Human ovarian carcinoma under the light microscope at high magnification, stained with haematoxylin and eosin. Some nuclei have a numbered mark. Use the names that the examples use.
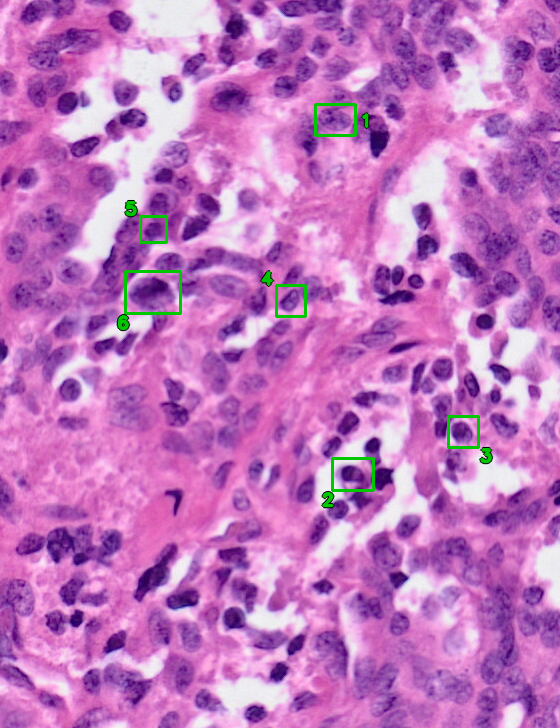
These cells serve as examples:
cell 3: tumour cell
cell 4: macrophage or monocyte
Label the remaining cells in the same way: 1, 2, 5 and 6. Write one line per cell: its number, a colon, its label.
1: macrophage or monocyte
2: tumour cell
5: tumour cell
6: tumour cell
